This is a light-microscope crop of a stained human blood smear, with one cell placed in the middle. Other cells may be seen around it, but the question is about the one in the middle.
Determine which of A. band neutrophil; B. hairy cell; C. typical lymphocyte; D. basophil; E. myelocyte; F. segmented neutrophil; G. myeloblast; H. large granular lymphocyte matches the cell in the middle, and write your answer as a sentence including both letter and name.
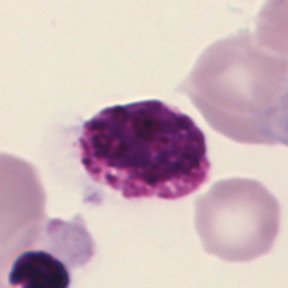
In this crop the central cell is a basophil, which option D correctly states.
